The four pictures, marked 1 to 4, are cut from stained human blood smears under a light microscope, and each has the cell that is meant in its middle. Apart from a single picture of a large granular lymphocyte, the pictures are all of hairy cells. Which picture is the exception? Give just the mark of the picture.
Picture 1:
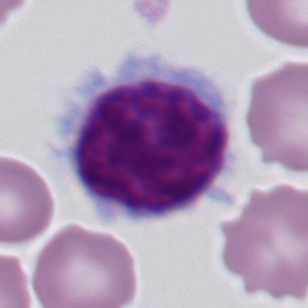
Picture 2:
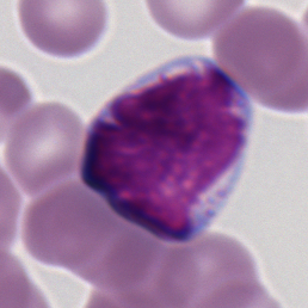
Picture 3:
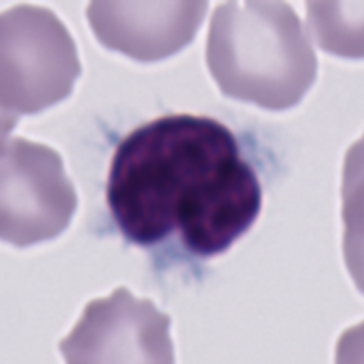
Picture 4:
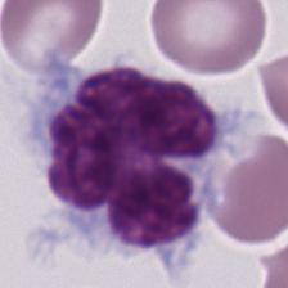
2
